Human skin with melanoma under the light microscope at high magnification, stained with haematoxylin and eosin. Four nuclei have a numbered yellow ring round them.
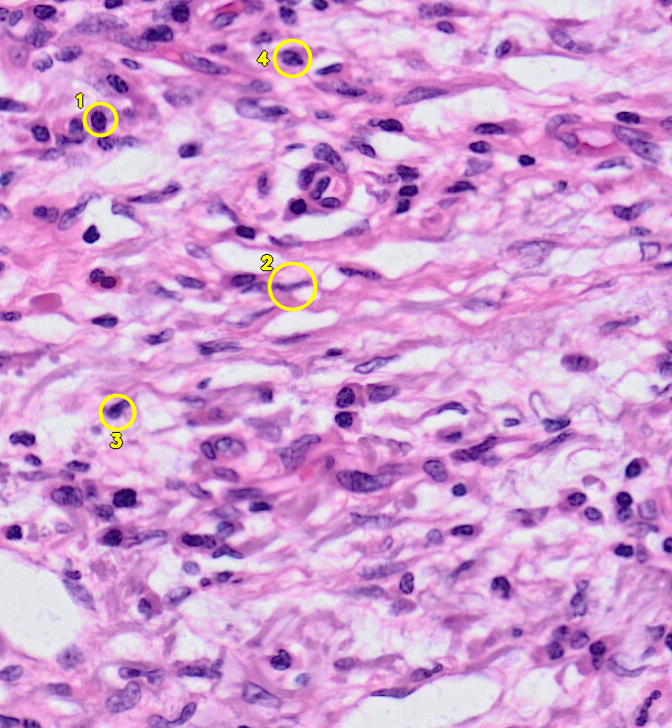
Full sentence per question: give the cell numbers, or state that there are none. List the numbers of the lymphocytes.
Only one choice fits: cell 3 is a lymphocyte, and no other.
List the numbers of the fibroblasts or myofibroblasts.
With the exception of cell 2, no marked cell is a fibroblast or myofibroblast.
